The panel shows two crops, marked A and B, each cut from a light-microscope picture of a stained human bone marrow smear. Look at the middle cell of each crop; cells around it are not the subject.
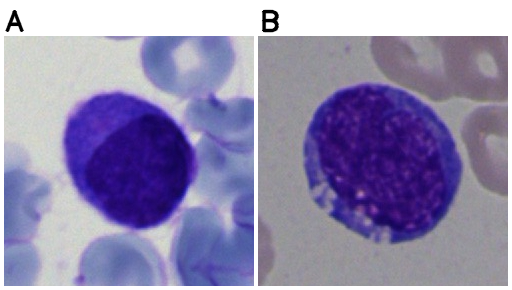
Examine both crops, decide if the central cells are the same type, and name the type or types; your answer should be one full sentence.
Yes, blasts are the cells shown in both crops.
